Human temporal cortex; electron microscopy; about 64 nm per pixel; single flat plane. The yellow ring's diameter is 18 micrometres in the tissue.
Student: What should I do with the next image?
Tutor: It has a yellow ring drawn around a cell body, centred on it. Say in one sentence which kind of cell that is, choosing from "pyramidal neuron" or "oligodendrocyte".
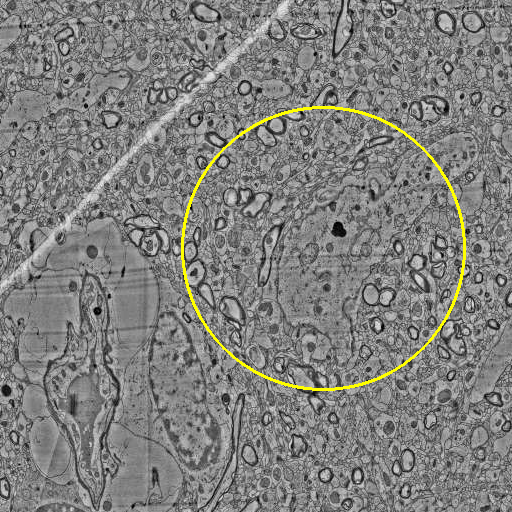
The ring's centre is occupied by a pyramidal neuron.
